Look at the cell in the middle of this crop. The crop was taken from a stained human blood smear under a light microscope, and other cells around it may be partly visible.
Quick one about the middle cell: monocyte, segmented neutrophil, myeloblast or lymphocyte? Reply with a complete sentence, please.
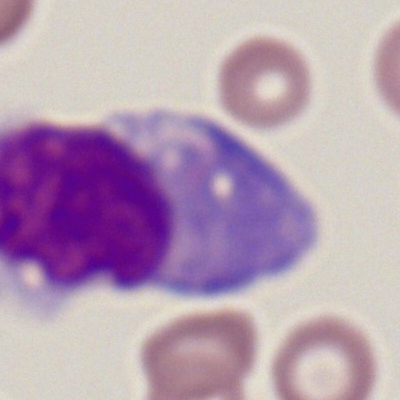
The cell of interest, located centrally, is a monocyte.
